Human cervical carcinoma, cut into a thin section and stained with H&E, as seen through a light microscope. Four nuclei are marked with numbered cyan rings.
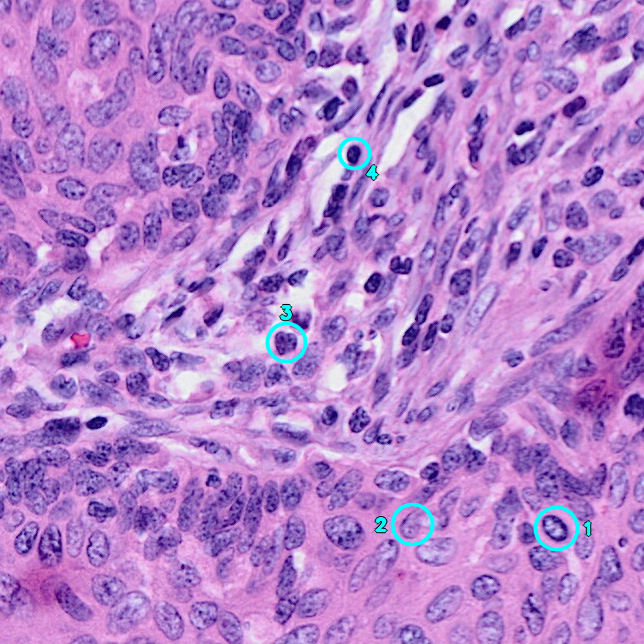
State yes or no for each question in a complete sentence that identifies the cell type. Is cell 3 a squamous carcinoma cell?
No, cell 3 is a lymphocyte; it is not a squamous carcinoma cell.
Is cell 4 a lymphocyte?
Yes, the cell sitting at number 4 is a lymphocyte.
